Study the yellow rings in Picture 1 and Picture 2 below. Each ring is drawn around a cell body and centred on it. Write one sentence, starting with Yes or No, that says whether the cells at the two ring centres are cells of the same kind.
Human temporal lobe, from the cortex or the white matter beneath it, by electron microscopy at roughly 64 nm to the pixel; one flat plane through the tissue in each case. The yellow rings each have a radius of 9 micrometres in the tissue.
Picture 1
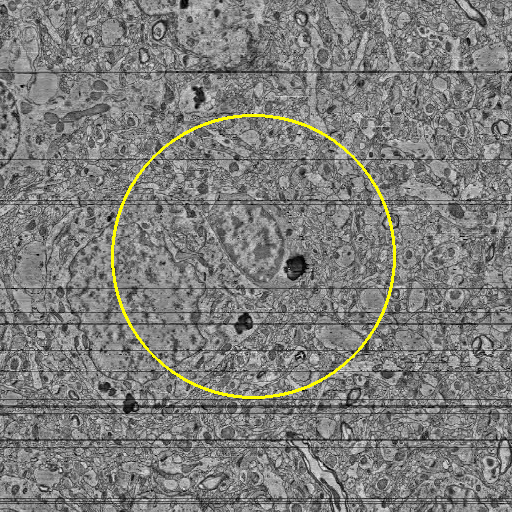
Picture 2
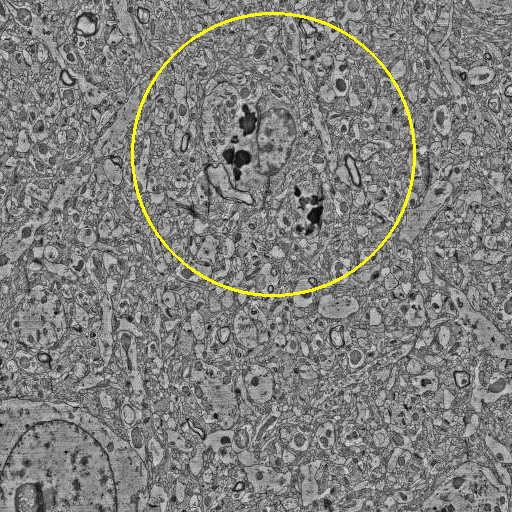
Yes, the cells at both ring centres are of the same kind.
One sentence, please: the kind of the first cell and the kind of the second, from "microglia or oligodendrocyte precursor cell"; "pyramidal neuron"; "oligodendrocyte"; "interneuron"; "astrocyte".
The first and the second cell are each an oligodendrocyte.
